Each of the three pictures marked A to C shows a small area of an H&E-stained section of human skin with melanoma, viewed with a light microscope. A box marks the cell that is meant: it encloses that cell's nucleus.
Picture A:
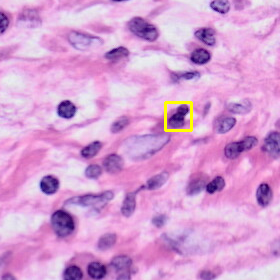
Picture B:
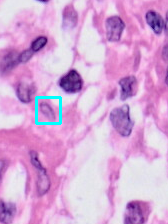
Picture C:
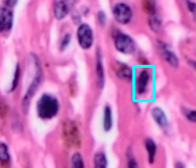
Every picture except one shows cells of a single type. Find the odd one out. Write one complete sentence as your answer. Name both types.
The different one is picture B; it shows a “macrophage or monocyte”, whereas all the others show plasma cells.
